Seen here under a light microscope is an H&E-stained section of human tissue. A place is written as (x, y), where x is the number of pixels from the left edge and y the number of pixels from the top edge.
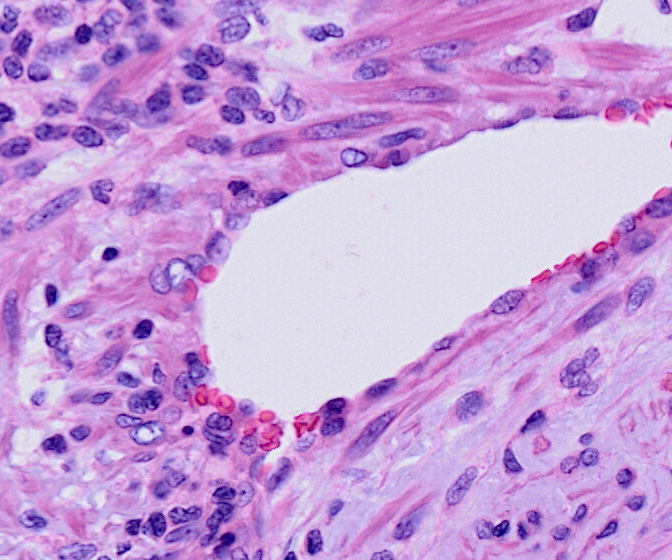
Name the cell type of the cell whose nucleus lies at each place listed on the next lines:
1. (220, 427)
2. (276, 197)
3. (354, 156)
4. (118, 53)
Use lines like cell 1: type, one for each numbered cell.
cell 1: endothelial cell
cell 2: endothelial cell
cell 3: endothelial cell
cell 4: lymphocyte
